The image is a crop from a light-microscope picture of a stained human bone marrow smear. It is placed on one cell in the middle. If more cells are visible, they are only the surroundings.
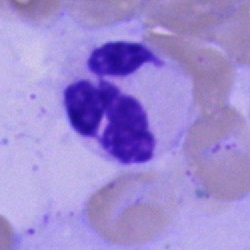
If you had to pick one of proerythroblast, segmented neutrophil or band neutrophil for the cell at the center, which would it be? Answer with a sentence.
The cell found in the middle of this crop is a segmented neutrophil.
